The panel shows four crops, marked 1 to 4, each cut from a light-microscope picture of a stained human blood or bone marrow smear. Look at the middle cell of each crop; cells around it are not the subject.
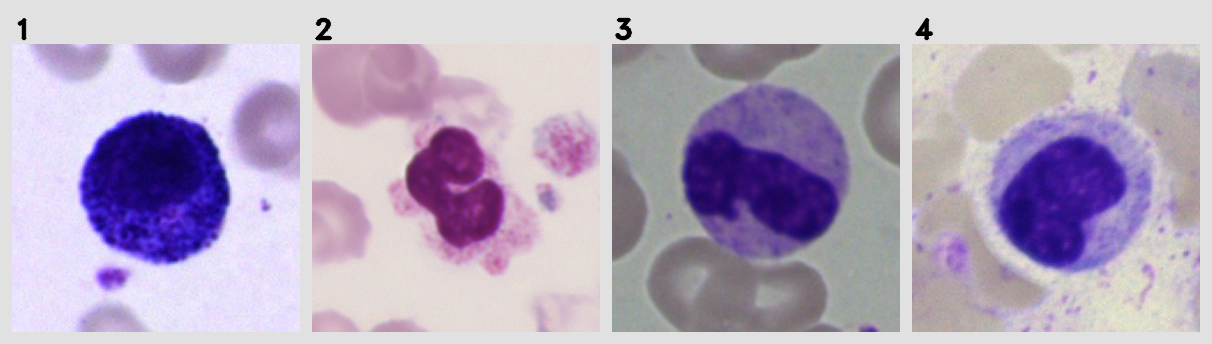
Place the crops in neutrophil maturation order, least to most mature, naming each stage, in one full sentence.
The cells, arranged from least to most mature, are crop 1 (a promyelocyte), crop 4 (a metamyelocyte), crop 3 (a band neutrophil) and crop 2 (a segmented neutrophil).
